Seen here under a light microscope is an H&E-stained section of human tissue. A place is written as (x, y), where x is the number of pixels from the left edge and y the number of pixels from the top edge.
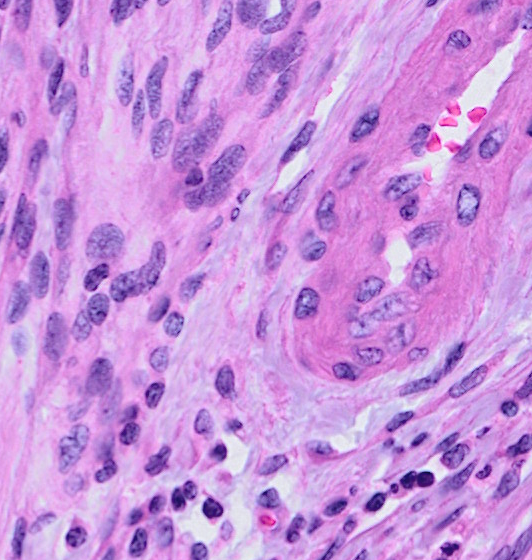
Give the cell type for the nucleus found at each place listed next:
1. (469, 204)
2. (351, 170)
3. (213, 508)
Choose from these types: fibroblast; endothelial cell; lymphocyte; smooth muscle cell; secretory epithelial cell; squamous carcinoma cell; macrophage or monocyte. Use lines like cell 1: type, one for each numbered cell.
cell 1: smooth muscle cell
cell 2: smooth muscle cell
cell 3: lymphocyte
